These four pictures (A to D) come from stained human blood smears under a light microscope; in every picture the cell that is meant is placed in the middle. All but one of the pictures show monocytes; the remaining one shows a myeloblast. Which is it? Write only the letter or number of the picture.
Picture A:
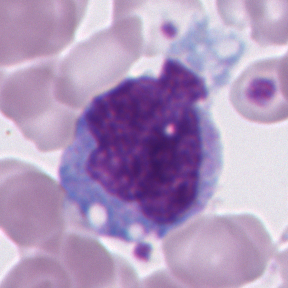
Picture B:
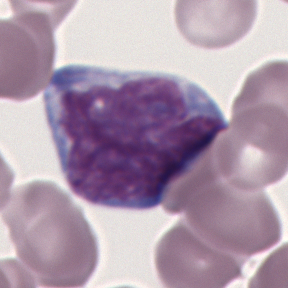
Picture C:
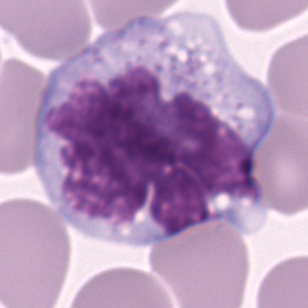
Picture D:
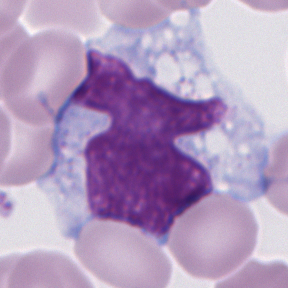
B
